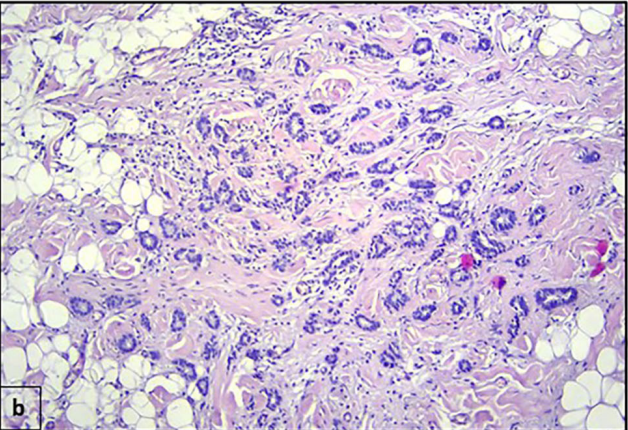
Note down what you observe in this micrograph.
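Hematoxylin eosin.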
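Small, irregular tubules and cords lined by cells with crowded dark purple nuclei are scattered without order through a pale pink collagenous stroma. Many tubules have small lumens, and fat cells with clear empty spaces border the tumour on both sides, with the glands reaching in among them. A few lymphocyte-like small dark cells cluster near the upper part of the stroma. This haphazard infiltration of angulated glands into fibrous stroma and fat is invasive ductal carcinoma.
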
